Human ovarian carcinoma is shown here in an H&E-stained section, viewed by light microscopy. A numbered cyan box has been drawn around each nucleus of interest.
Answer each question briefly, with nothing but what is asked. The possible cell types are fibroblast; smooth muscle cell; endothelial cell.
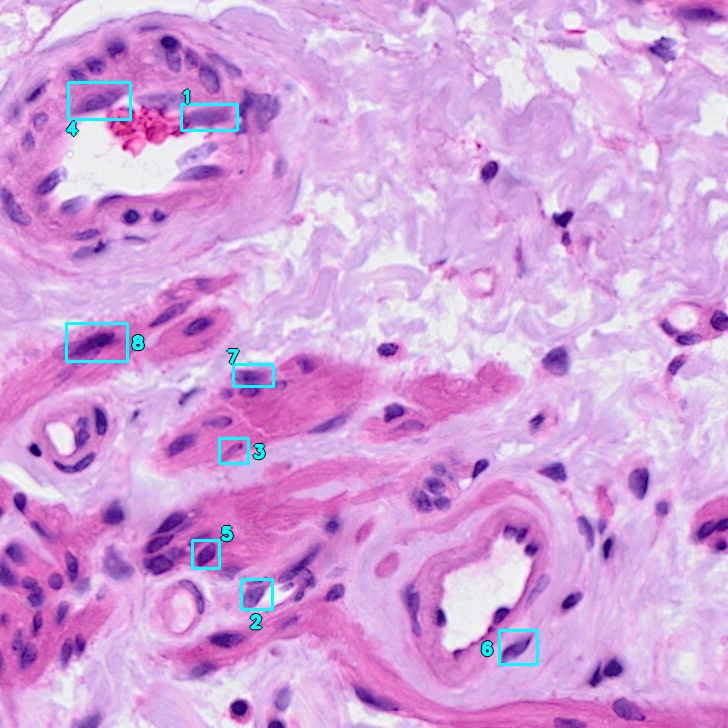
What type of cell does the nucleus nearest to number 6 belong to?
endothelial cell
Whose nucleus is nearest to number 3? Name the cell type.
smooth muscle cell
